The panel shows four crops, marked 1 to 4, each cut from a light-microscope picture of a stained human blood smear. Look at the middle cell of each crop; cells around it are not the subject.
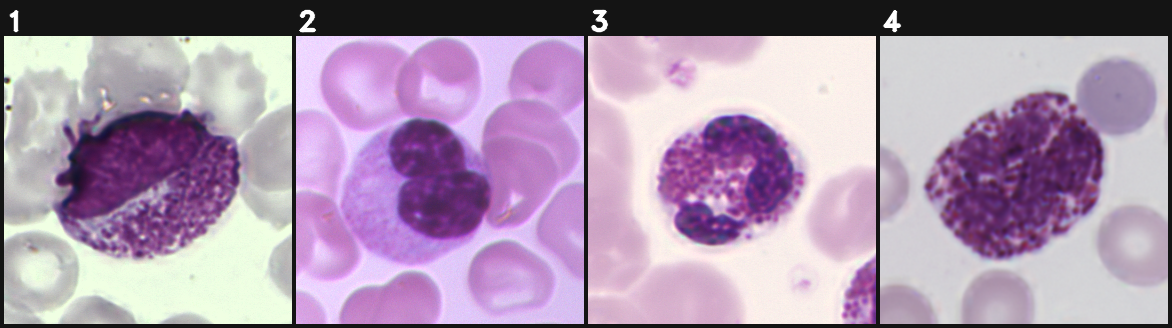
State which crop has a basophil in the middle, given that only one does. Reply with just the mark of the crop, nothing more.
4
